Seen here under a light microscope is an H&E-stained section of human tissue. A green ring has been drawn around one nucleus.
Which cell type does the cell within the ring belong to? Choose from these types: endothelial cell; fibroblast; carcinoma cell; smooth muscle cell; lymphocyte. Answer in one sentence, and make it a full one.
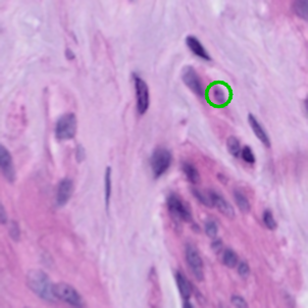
In this field of tissue, the cell within the ring is a smooth muscle cell.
